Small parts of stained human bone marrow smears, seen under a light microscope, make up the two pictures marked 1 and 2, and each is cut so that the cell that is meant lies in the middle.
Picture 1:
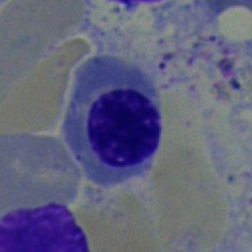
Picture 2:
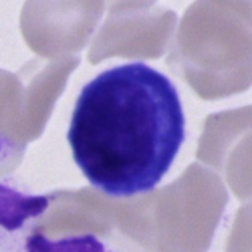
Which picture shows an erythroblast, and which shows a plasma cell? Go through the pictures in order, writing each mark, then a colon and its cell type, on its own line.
1: erythroblast
2: plasma cell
